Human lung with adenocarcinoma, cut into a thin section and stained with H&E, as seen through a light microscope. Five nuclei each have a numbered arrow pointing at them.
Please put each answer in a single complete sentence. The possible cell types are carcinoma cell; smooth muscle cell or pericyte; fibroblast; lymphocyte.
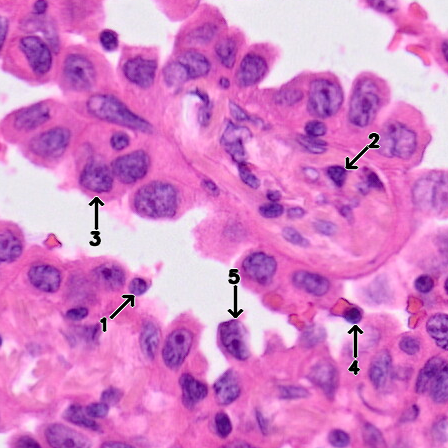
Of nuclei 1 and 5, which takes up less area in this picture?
With nucleus 5 about 3 times its size, nucleus 1 is the smaller of the two.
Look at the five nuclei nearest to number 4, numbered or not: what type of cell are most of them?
Around number 4, most of the five nearest nuclei are those of carcinoma cells.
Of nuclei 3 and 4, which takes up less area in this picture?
Number 4 is smaller, since number 3 takes up about 2.5 times as much area.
